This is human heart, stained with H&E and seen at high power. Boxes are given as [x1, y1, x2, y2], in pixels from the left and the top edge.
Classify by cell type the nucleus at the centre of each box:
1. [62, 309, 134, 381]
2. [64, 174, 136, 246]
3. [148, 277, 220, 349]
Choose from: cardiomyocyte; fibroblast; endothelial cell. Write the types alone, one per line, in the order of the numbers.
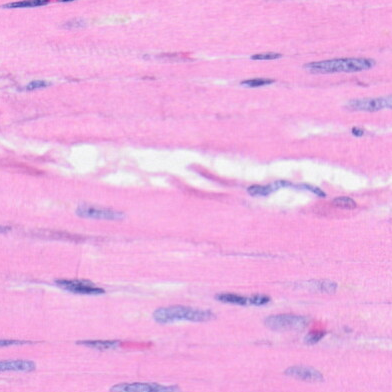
endothelial cell
cardiomyocyte
cardiomyocyte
